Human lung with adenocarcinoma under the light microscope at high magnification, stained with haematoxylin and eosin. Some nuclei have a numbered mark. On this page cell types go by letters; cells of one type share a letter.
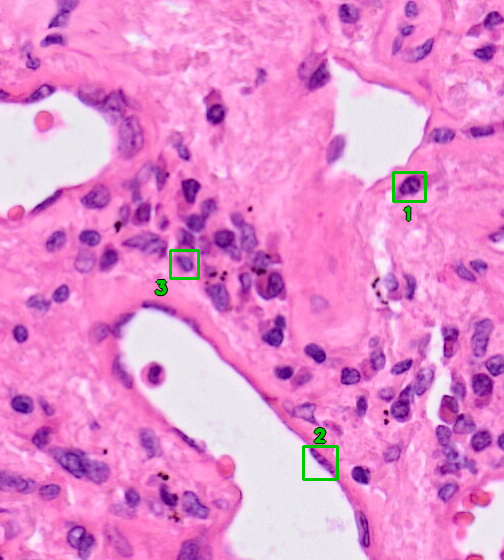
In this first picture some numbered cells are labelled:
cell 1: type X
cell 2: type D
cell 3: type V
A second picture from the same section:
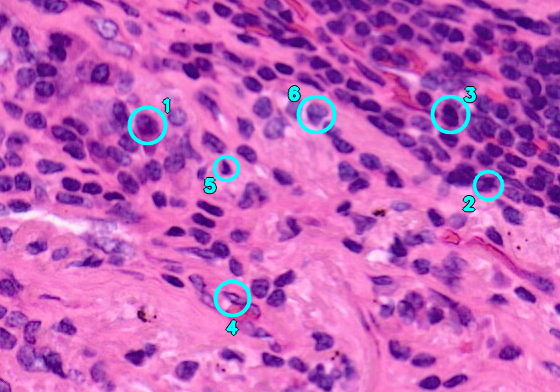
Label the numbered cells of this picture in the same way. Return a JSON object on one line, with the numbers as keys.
{"1": "type X", "2": "type V", "3": "type V", "4": "type D", "5": "type V", "6": "type V"}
